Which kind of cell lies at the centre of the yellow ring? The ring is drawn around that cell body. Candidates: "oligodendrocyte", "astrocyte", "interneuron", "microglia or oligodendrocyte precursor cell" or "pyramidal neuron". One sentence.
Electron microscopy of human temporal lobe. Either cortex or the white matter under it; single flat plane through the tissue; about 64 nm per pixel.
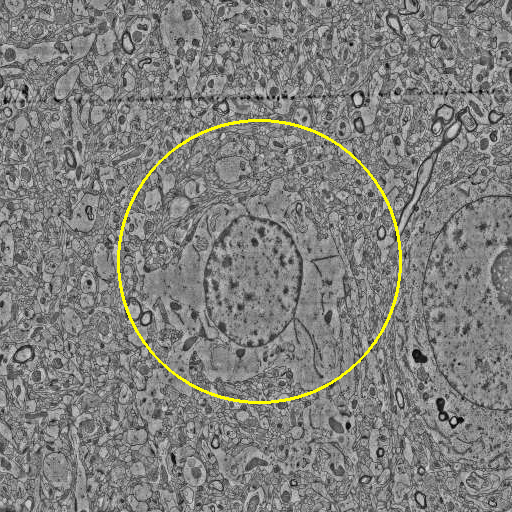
Lying at the centre of the ring is an astrocyte.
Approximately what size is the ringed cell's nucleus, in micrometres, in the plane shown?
In this plane the nucleus measures roughly 8 by 6 micrometres.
